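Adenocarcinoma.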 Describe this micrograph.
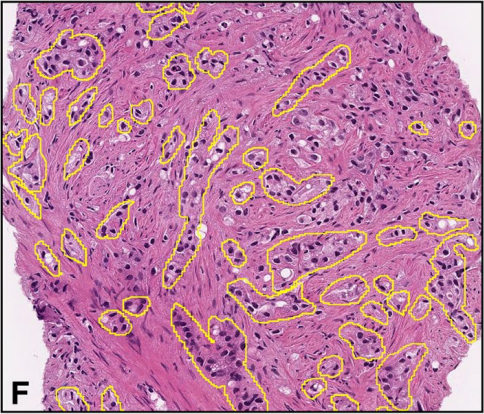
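Tumor cells infiltrate a dense fibromuscular stroma as thin cords, small clusters and single cells, each small group outlined in yellow. The tumor cells have round to oval dark-purple nuclei and pale to clear cytoplasm, some with small vacuoles. Between the groups run pink, wavy stromal fibres with spindle-shaped nuclei.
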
